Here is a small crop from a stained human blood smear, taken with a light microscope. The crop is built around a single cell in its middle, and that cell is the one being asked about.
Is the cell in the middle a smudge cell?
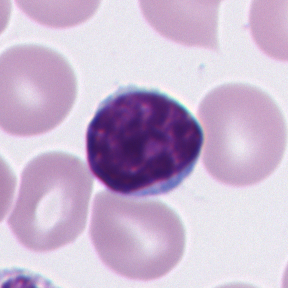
no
